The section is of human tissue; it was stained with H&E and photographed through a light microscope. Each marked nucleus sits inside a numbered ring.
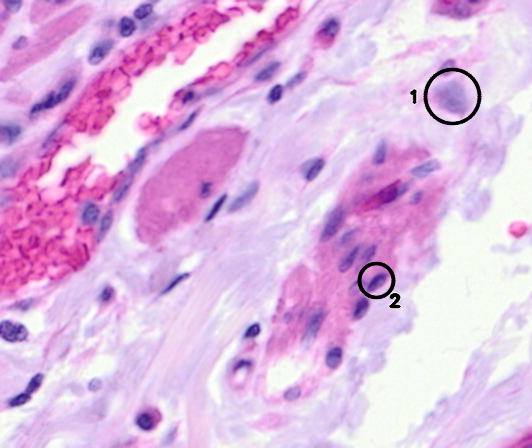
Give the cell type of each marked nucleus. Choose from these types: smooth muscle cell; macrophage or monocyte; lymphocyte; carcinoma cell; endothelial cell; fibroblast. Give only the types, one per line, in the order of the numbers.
fibroblast
smooth muscle cell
